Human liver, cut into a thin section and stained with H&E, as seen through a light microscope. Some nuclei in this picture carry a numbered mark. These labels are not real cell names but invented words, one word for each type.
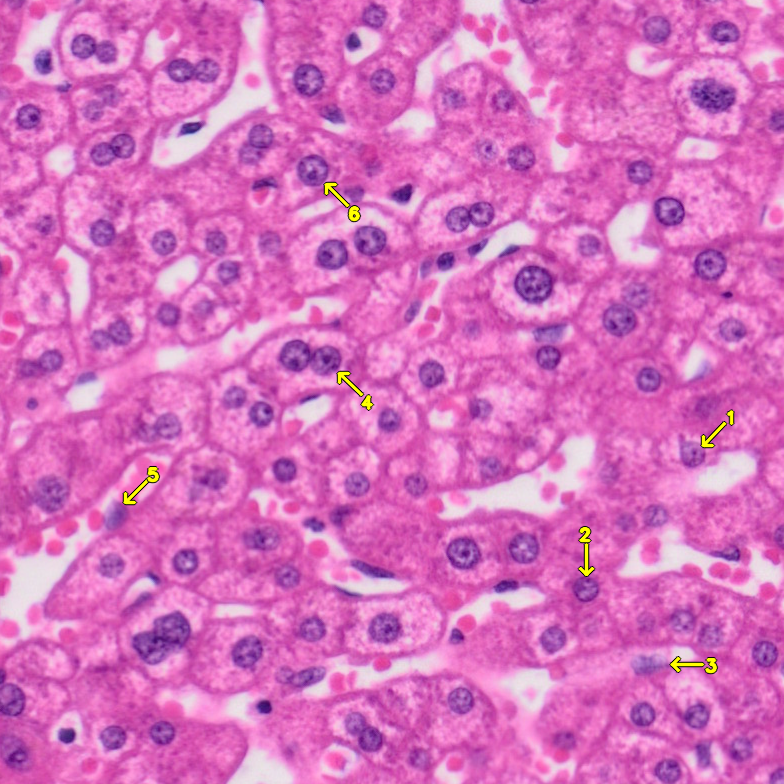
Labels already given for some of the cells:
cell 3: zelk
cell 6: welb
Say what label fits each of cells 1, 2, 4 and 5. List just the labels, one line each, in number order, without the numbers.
welb
welb
welb
zelk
